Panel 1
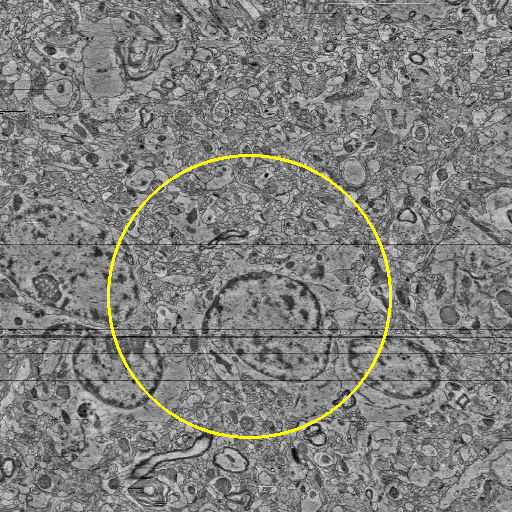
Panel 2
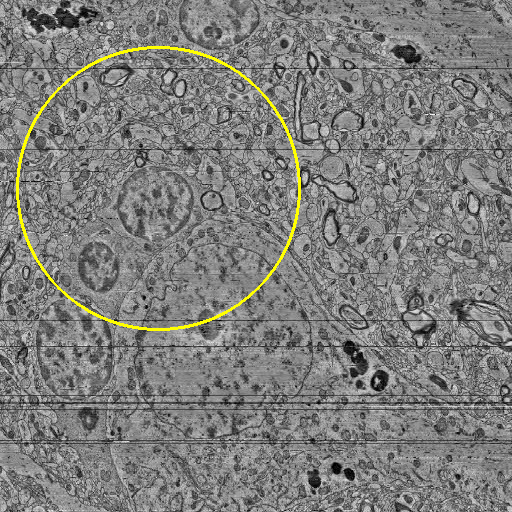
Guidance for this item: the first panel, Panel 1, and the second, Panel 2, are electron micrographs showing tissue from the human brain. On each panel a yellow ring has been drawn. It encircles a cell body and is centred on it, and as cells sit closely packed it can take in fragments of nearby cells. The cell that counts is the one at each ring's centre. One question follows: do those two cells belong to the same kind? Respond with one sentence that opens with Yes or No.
No, the cells at the ring centres in Panel 1 and Panel 2 are of two kinds.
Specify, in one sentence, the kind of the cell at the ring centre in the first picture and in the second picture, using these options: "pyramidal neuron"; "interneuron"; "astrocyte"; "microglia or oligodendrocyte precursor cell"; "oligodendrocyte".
So the first is an astrocyte, the second an oligodendrocyte.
